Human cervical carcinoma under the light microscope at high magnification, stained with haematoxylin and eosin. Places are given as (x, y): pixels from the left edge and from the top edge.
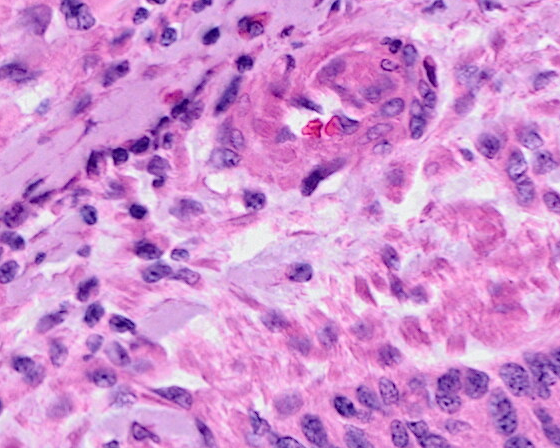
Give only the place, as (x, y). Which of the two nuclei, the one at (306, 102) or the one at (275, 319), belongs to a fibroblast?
(275, 319)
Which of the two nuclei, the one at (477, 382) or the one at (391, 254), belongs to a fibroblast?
(391, 254)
